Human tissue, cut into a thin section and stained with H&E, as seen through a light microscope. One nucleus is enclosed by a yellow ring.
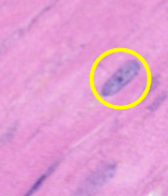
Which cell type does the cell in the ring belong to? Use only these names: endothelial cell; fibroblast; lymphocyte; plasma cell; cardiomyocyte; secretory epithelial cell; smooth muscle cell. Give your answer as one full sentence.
Typologically, the cell in the ring is a cardiomyocyte in this section.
